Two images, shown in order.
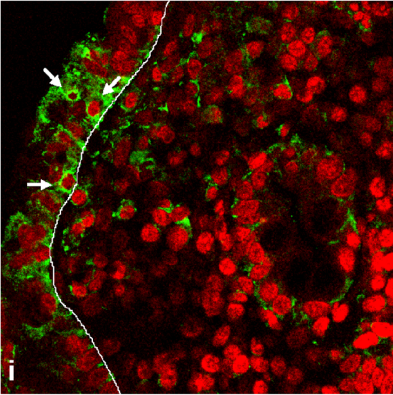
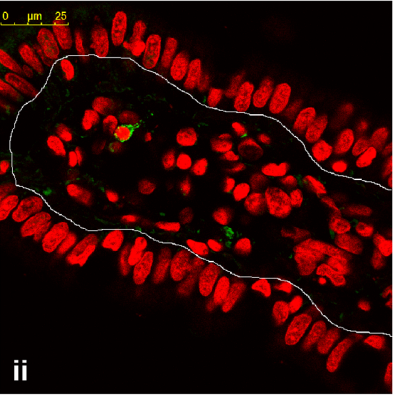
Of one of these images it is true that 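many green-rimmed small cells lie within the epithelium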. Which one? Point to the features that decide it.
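Second image: the palisade of epithelial nuclei is almost free of green; green appears only in a few spots inside the core. First image: abundant green outlines small round-nucleated cells on the epithelial side of the white line. On this evidence: the first image.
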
